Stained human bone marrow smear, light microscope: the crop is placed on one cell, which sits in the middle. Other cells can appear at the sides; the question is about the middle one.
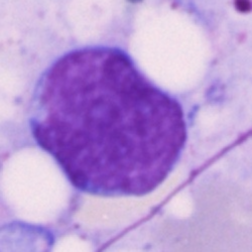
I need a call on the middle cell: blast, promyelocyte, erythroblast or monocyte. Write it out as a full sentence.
Framed in the middle of the crop is a blast.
